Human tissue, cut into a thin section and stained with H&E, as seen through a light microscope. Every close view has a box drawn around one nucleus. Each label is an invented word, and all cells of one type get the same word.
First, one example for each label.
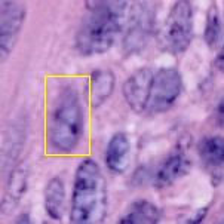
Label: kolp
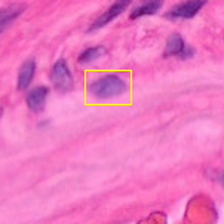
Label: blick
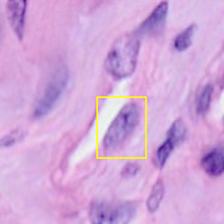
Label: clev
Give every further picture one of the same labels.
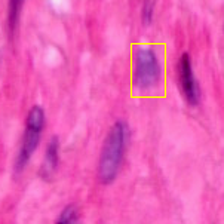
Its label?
blick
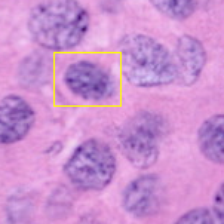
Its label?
kolp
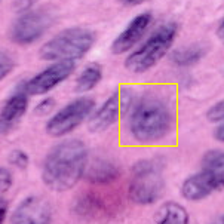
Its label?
kolp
